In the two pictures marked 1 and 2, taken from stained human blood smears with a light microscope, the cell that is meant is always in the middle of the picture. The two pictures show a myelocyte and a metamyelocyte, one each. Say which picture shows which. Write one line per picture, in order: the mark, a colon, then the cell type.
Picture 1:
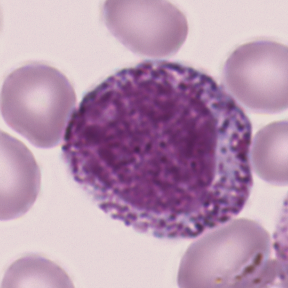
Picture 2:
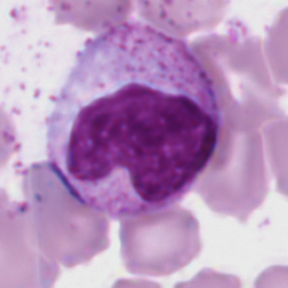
1: myelocyte
2: metamyelocyte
